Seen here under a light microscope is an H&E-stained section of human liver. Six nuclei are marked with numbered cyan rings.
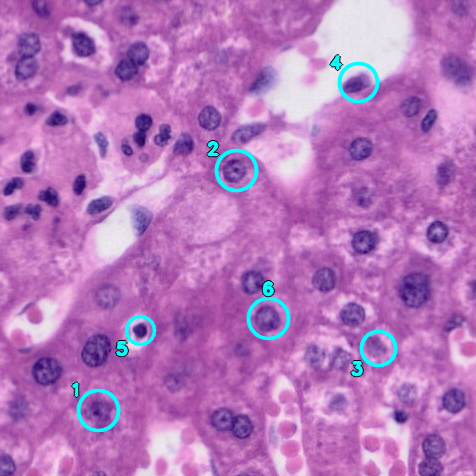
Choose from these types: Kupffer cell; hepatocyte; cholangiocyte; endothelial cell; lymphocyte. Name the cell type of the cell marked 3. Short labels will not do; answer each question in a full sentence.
The correct answer for cell 3 is a hepatocyte.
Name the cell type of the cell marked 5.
The cell identified by the number 5 is a lymphocyte.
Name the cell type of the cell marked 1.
The cell that carries the label 1 is a hepatocyte.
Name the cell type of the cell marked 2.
In this section, the cell numbered 2 is a hepatocyte.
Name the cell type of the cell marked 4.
In this section, the cell tagged 4 is a Kupffer cell.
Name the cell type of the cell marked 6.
The cell to which the number 6 is assigned is a hepatocyte.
